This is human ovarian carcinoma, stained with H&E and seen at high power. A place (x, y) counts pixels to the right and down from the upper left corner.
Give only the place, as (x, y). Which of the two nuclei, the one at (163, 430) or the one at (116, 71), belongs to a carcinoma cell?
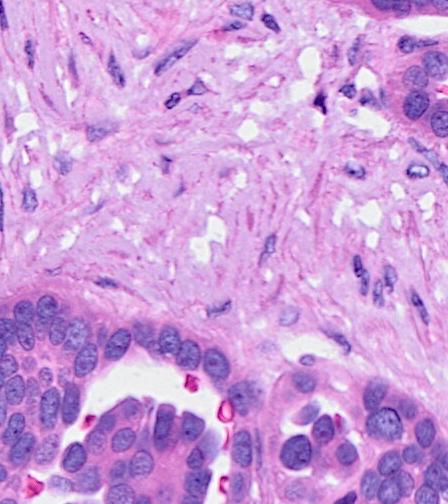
(163, 430)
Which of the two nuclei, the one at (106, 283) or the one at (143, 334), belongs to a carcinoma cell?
(143, 334)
